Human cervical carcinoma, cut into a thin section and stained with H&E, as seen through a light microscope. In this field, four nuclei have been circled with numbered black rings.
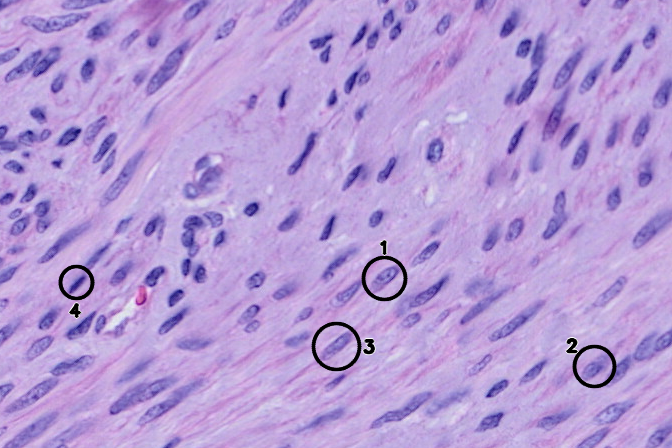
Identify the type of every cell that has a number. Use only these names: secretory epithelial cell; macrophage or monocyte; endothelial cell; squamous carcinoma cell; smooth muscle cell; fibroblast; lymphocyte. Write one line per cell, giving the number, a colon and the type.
1: smooth muscle cell
2: smooth muscle cell
3: smooth muscle cell
4: fibroblast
